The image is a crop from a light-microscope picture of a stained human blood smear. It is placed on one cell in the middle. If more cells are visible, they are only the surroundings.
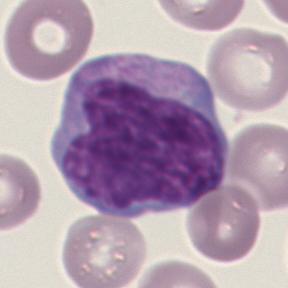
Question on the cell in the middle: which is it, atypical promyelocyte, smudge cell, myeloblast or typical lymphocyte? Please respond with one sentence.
The central element of this crop is a cell, namely an atypical promyelocyte.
